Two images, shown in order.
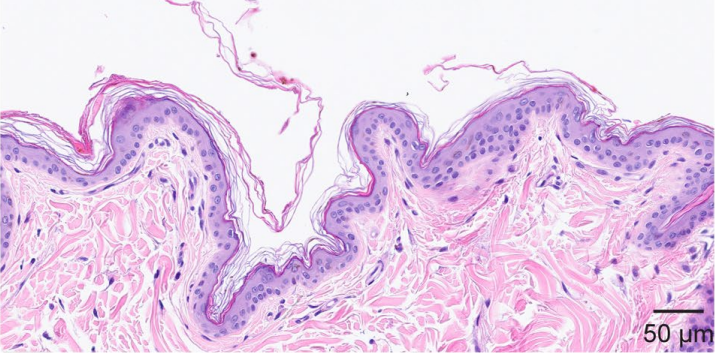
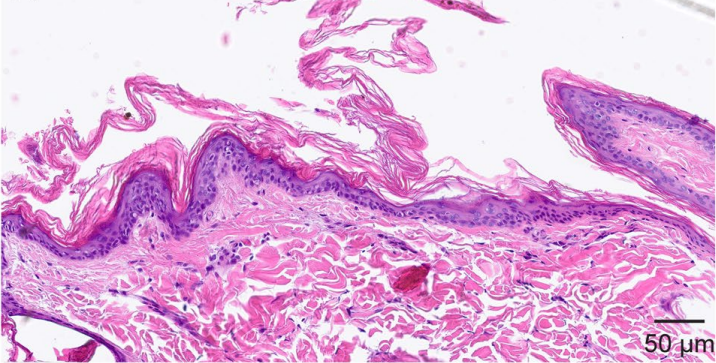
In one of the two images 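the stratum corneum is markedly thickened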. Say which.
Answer: the second image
